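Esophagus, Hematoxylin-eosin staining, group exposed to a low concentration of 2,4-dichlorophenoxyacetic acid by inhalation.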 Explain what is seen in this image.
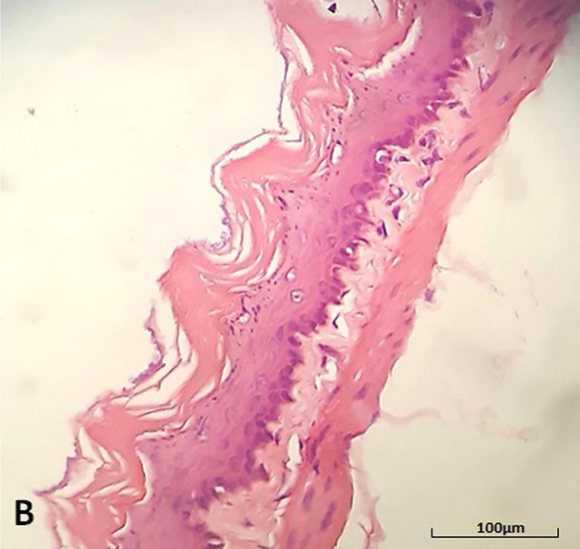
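A folded strip of stratified squamous epithelium shows a purple band of nucleated cells, with a row of darker basal nuclei along one side. On its surface lies a markedly thick, pink, wavy layer of anucleate keratin arranged in many stacked lamellae. This is esophageal epithelium with a thickened corneal layer, that is hyperkeratosis.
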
